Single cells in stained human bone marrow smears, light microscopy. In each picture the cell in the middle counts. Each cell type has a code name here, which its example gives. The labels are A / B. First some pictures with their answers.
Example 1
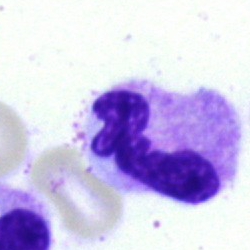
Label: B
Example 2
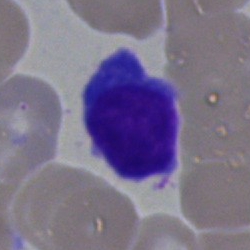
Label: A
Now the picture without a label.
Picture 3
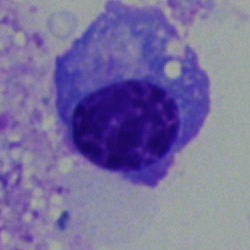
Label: A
